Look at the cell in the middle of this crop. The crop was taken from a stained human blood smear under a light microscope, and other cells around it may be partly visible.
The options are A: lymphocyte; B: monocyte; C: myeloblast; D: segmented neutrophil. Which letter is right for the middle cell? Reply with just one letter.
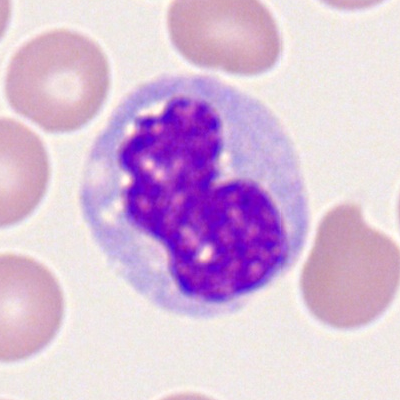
B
